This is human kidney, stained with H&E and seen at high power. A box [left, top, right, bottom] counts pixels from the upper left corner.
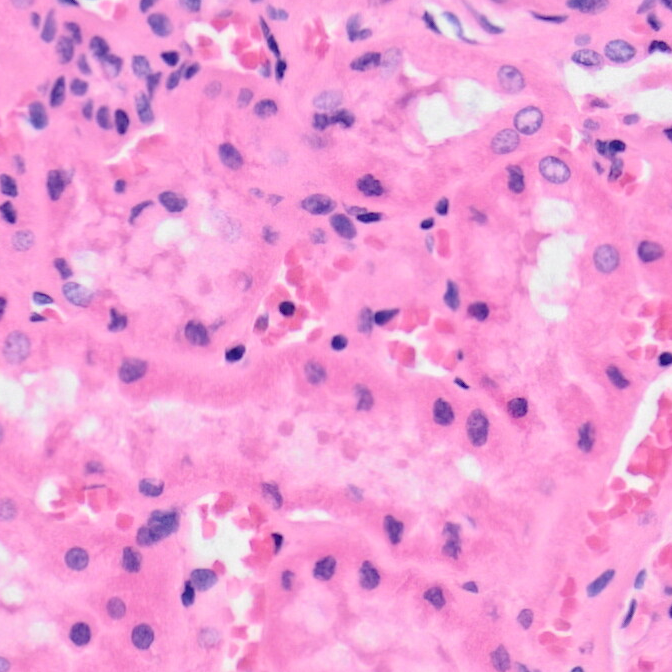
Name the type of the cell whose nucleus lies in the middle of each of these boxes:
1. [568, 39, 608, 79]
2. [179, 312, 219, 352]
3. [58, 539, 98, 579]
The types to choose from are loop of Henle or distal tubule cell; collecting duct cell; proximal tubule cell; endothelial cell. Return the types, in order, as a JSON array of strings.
["collecting duct cell", "proximal tubule cell", "proximal tubule cell"]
